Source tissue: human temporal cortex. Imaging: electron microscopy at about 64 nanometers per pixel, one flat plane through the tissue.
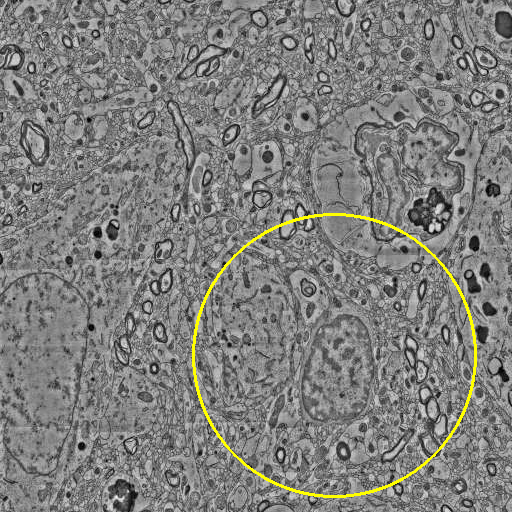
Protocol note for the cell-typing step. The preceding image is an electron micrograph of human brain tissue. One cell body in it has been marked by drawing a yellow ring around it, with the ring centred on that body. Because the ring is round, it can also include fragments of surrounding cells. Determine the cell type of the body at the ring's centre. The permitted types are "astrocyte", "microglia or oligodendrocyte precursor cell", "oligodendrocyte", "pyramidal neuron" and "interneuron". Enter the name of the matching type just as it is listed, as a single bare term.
oligodendrocyte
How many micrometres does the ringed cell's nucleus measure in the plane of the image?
In this plane, about 7 by 4 micrometres: the nucleus is clearly longer than it is wide.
